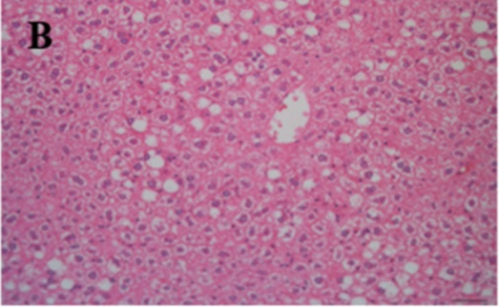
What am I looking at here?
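This is liver parenchyma made of hepatocytes, many of which hold fat. The hepatocytes are polygonal cells with round central nuclei and pink cytoplasm, arranged in sheets around a vascular space. Apart from these vacuoles the cells look largely intact, and no dense clusters of inflammatory cells stand out.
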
